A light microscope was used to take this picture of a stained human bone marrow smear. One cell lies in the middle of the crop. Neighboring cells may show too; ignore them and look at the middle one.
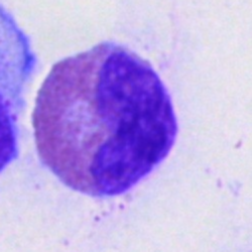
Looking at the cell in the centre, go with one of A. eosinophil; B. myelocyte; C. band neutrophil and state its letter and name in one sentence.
At the centre of the crop lies an eosinophil, which makes option A correct.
